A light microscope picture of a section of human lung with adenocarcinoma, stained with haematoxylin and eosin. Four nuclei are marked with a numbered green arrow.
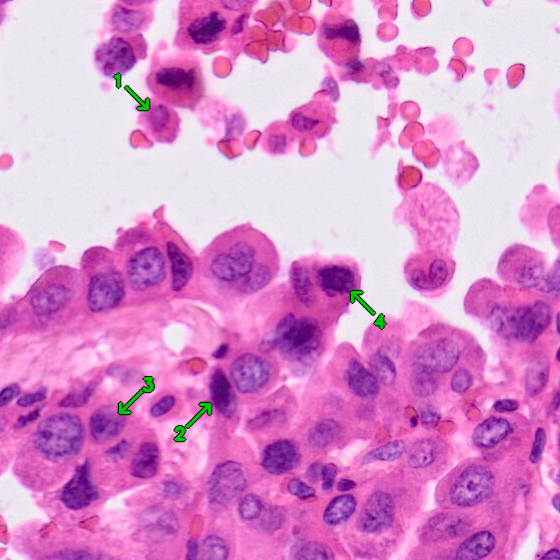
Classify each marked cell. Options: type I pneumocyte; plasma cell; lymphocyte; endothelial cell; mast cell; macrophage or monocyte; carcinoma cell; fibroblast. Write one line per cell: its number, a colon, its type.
1: macrophage or monocyte
2: carcinoma cell
3: carcinoma cell
4: carcinoma cell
